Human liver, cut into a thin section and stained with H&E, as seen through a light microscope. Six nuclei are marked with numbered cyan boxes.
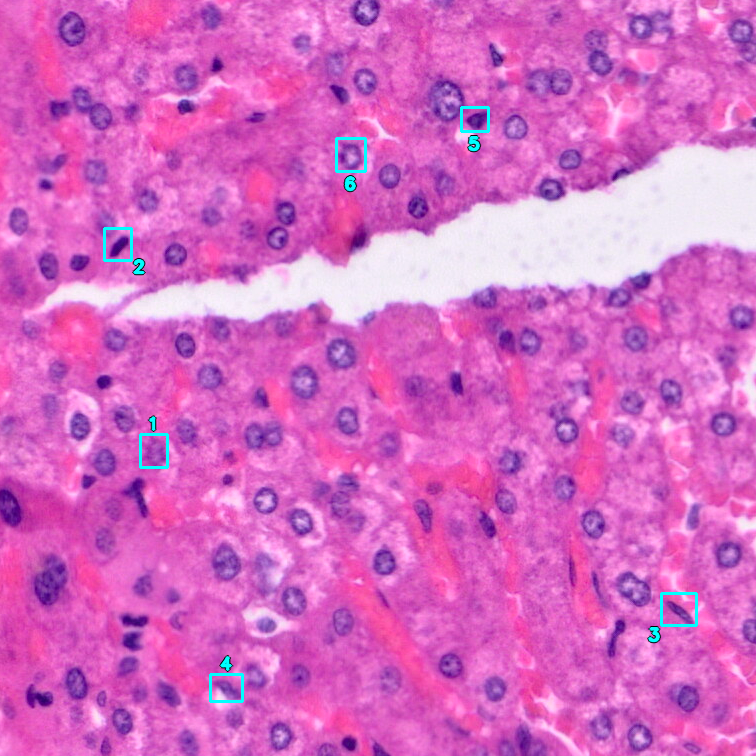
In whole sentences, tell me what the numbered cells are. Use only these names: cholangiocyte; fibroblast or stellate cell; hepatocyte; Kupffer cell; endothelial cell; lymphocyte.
Cells 1 and 6 are hepatocytes. Cells 2 and 5 are fibroblasts or stellate cells. Cells 3 and 4 are endothelial cells.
